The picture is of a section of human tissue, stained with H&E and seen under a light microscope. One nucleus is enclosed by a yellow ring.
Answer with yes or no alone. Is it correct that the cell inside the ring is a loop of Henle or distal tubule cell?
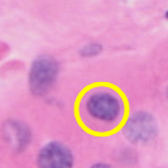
yes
